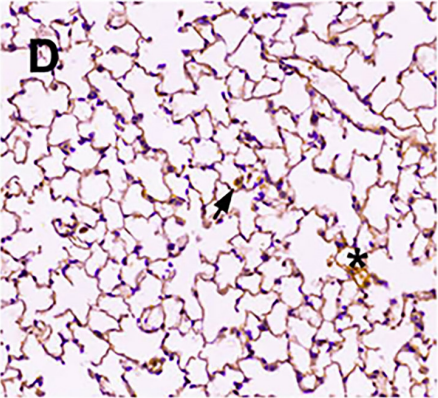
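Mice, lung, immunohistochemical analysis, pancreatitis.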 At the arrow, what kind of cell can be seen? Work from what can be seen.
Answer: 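Macrophages. A rounded cell with brown cytoplasm in the alveolar region. It stands out from the thin septa around it.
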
